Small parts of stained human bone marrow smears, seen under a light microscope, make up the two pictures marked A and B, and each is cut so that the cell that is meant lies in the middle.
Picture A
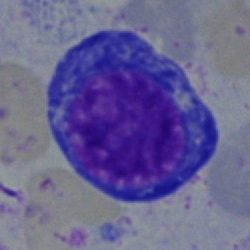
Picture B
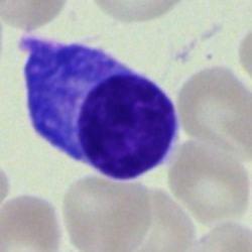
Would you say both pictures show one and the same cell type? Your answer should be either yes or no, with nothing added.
no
